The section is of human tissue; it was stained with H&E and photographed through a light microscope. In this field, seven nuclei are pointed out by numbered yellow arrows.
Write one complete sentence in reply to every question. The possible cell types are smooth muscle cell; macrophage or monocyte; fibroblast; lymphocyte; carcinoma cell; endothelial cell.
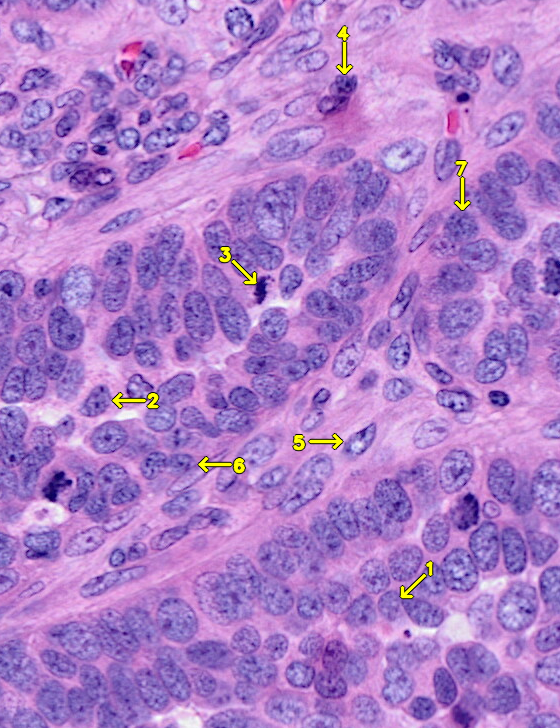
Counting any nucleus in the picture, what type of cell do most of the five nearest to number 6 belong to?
The majority of the five nuclei closest to number 6 belong to carcinoma cells.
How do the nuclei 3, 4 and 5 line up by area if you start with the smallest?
The order from the smallest nucleus to the largest is 3, 4, 5.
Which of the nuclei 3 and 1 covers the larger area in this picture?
Nucleus 1 is the larger one, covering about 2 times the area of nucleus 3.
